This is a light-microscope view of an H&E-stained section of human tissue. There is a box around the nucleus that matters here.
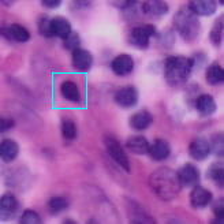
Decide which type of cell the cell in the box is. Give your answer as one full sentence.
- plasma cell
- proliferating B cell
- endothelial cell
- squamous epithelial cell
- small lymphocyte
The cell in the box appears to be an endothelial cell.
